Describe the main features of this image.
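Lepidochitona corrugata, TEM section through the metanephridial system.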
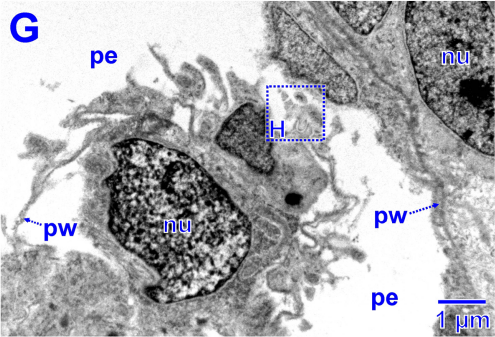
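A cell of the pericardial wall with a large oval nucleus with coarse chromatin sits between two pale pericardial spaces. Numerous slender, branching cytoplasmic processes extend from its surface and interdigitate, leaving narrow gaps between them. Part of a neighbouring cell nucleus appears at the upper right.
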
